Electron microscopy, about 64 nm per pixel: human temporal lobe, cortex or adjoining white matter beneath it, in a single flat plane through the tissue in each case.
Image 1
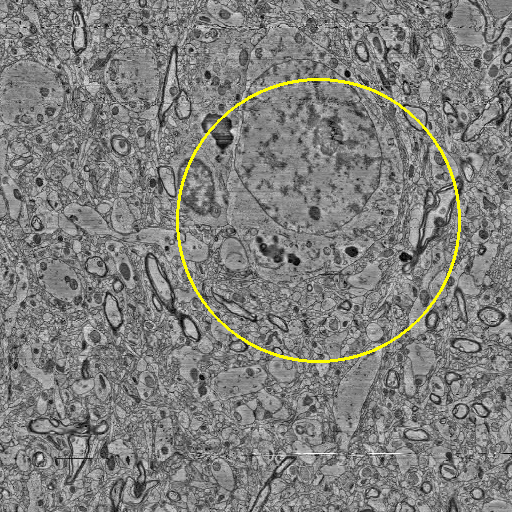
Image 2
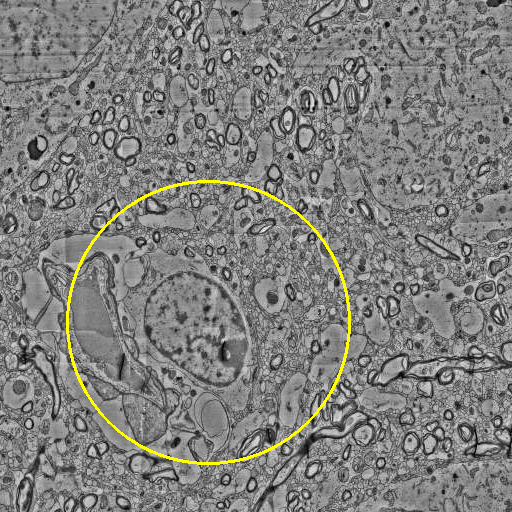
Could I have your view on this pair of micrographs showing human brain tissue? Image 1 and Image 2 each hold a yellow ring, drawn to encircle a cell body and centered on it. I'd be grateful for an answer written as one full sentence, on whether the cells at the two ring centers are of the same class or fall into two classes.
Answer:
The cells at the centers of the two rings fall into two classes.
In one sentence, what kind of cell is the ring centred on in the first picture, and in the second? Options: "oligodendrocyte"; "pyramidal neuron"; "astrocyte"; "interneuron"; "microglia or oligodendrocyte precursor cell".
The cell at the centre of the second ring is a microglial cell or oligodendrocyte precursor cell; the first ring's cell is a pyramidal neuron.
